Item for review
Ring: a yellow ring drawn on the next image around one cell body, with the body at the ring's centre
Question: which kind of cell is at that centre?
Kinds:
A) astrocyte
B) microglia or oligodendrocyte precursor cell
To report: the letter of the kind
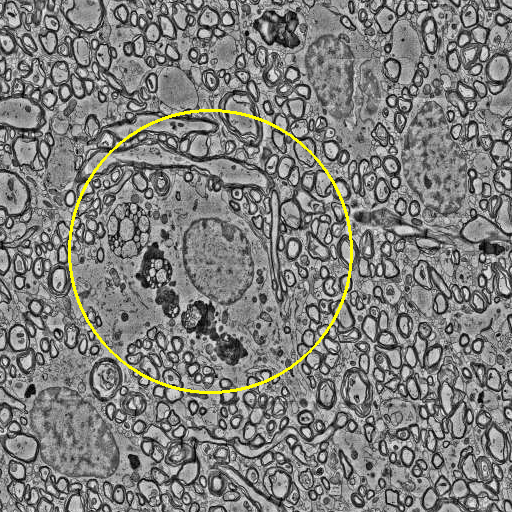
A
